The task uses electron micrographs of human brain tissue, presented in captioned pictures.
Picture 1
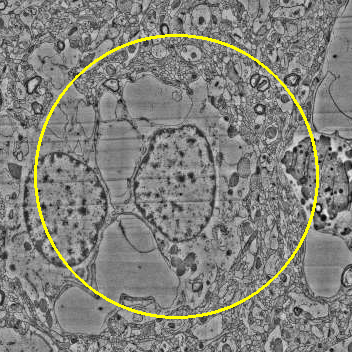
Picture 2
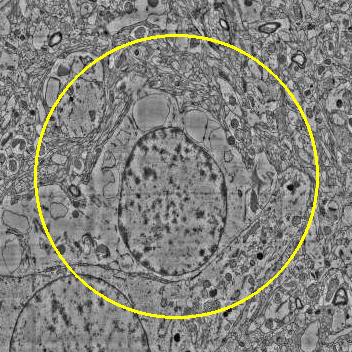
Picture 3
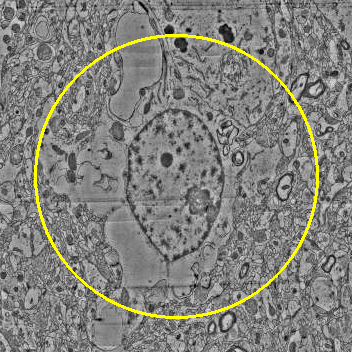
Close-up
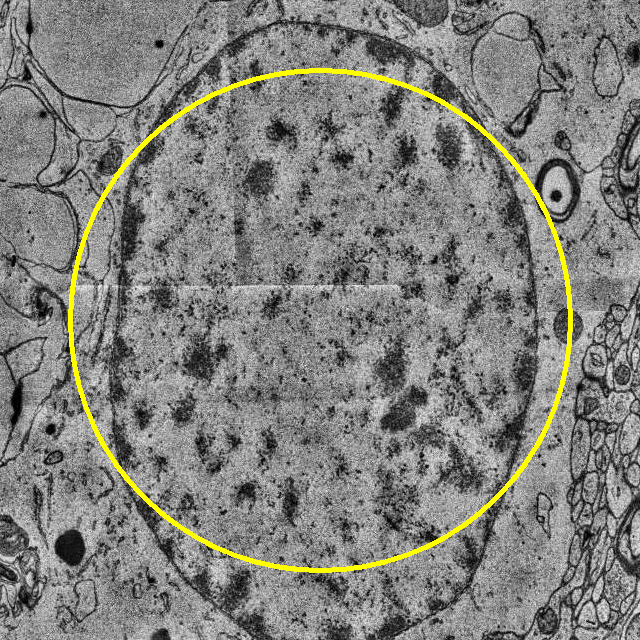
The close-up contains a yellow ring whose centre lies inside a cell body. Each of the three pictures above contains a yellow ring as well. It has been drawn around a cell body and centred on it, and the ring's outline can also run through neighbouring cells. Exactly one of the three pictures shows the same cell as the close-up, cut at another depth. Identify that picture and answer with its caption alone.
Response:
Picture 3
